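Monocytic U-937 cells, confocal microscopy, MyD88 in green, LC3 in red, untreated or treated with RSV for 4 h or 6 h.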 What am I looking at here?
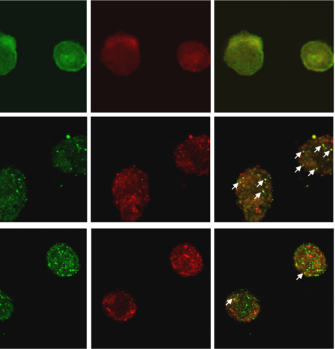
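Rounded single cells are shown in separate green and red channels and in merged images. In the top row, both colours fill the cells fairly evenly. In the lower rows, both colours appear as many small dots, and in the merged images some dots are yellow-orange where the green and red overlap.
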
